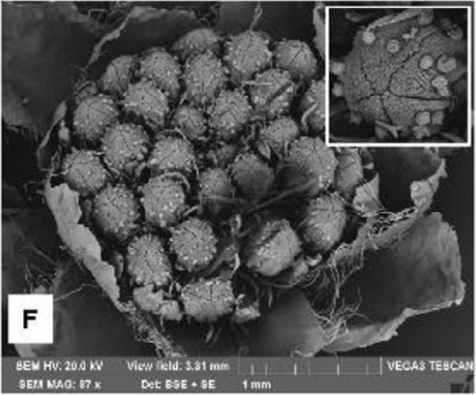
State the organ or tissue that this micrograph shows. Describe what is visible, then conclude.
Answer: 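Many small rounded flower buds are packed together in one head. Leafy bracts surround the cluster at its edge.
Answer: inflorescence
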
